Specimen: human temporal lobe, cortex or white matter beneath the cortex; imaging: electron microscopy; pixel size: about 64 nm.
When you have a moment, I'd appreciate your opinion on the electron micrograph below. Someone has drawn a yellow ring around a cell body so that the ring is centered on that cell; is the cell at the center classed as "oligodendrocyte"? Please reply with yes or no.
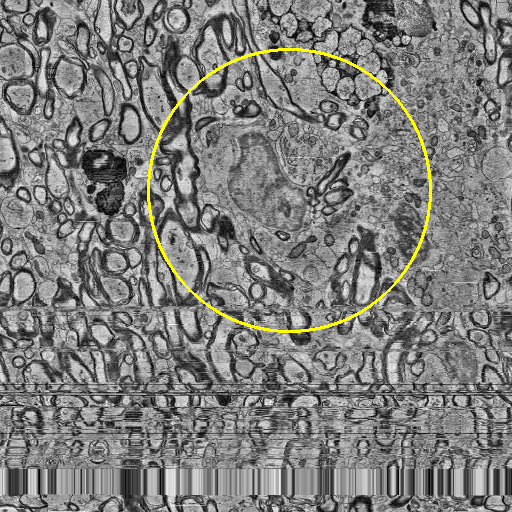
Yes, that cell is of the named kind.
